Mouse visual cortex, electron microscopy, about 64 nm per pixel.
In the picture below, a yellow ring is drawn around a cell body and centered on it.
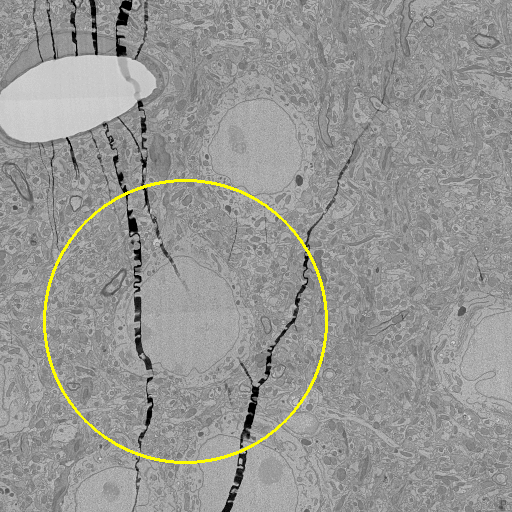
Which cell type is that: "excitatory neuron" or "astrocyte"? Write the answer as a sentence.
The cell centered in the ring is an excitatory neuron.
